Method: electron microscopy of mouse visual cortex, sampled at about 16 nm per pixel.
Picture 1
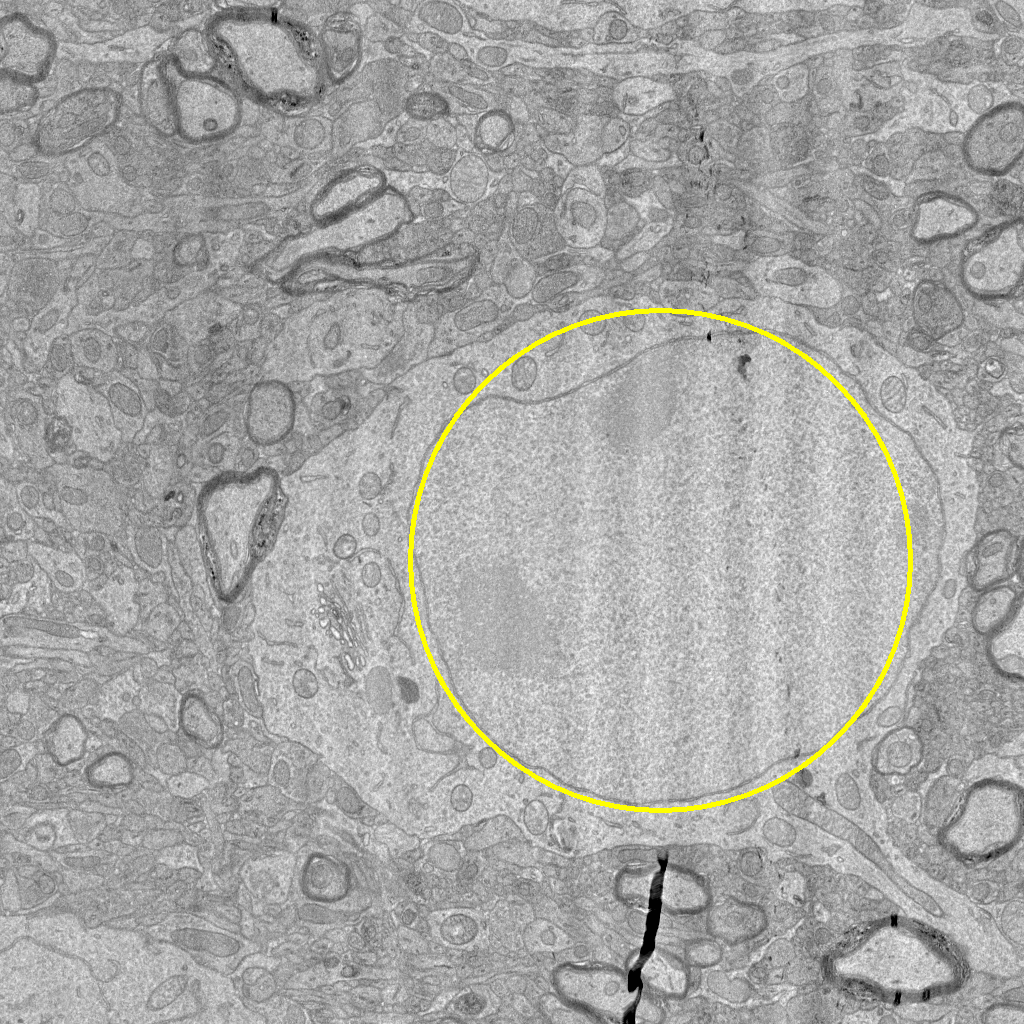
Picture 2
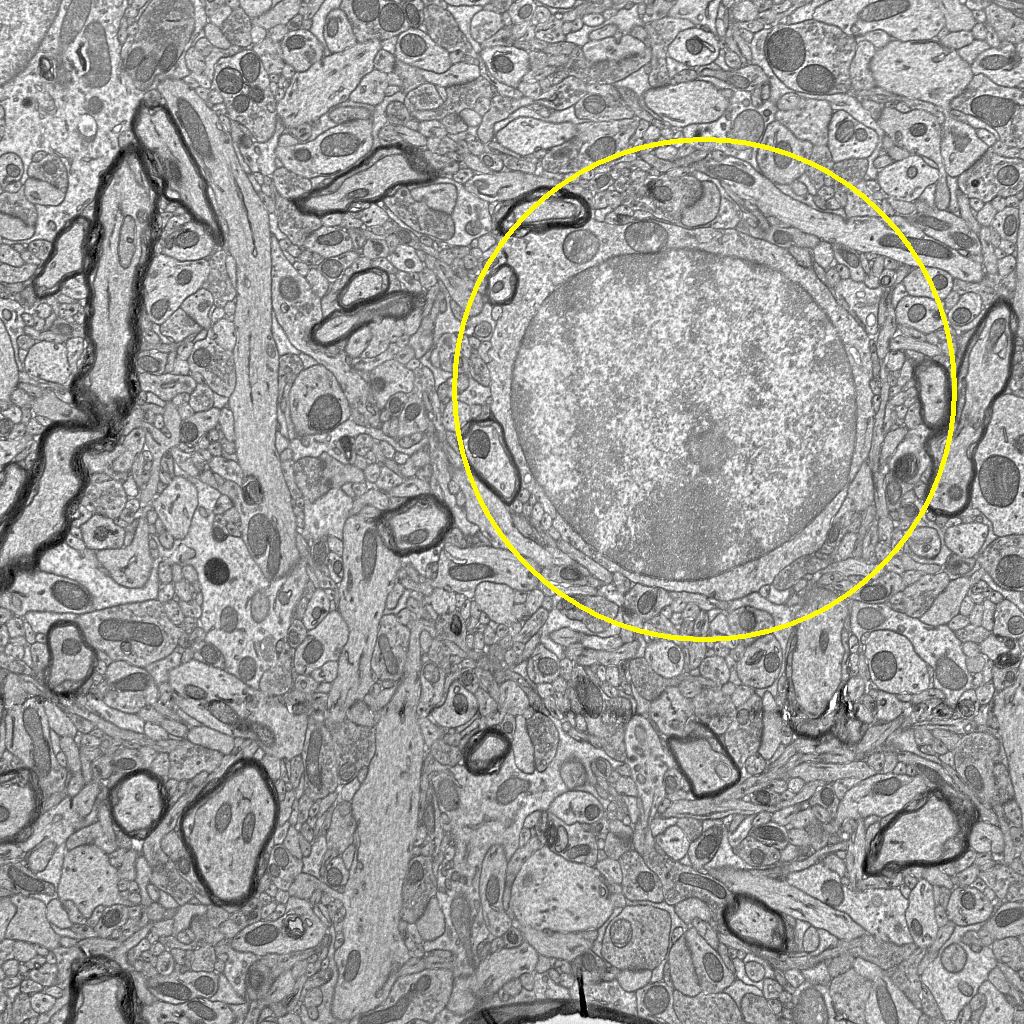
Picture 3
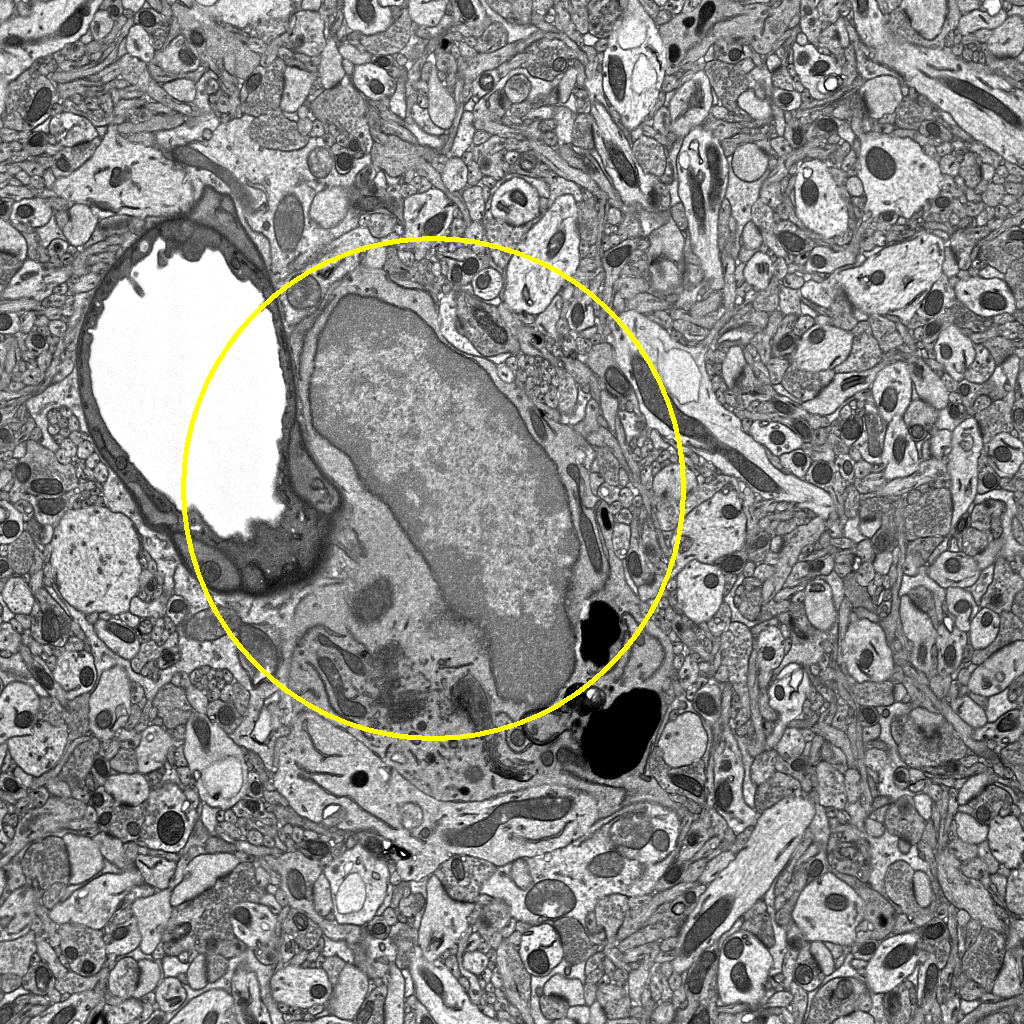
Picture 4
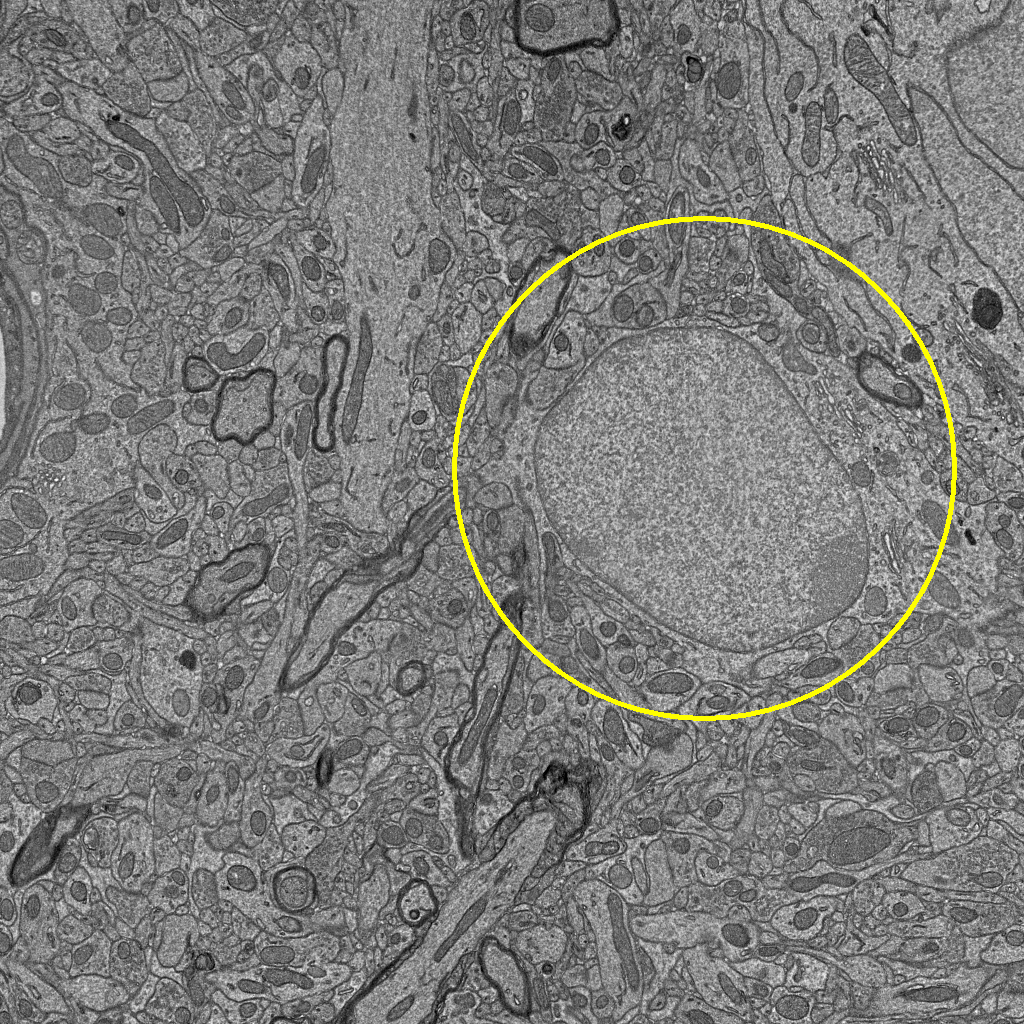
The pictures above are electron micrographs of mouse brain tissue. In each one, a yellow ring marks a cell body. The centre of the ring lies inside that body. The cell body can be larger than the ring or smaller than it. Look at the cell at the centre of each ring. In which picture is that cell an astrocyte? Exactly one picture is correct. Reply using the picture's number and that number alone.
4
